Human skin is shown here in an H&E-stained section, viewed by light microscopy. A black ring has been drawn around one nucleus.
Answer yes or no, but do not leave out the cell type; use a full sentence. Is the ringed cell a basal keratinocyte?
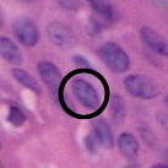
Yes, the ringed cell has been classified as a basal keratinocyte.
